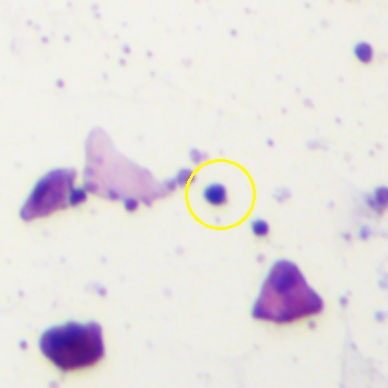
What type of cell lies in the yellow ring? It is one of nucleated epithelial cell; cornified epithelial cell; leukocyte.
The ringed cell is a leukocyte.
